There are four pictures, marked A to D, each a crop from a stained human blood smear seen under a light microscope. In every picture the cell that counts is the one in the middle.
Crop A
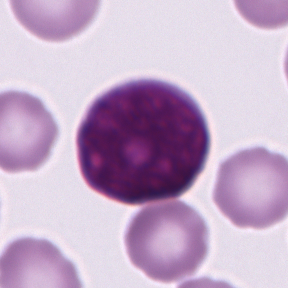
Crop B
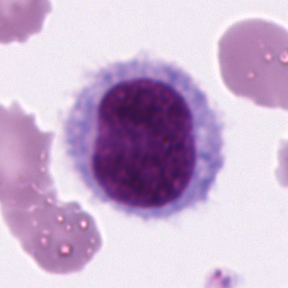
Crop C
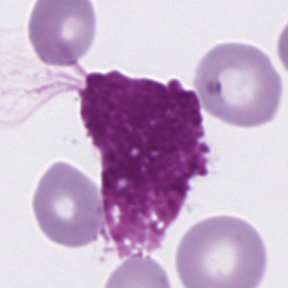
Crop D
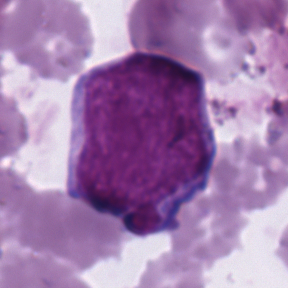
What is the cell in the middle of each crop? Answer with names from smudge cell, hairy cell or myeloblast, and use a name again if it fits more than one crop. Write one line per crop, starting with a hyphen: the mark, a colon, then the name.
- A: myeloblast
- B: hairy cell
- C: smudge cell
- D: myeloblast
